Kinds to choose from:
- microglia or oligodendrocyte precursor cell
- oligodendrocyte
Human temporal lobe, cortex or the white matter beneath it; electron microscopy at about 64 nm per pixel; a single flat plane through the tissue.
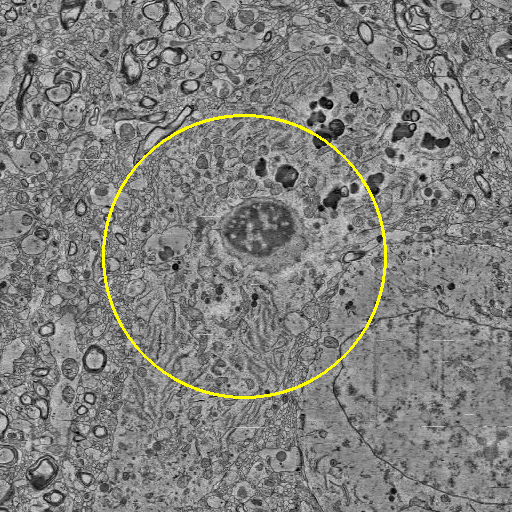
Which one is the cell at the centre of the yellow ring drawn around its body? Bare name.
oligodendrocyte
